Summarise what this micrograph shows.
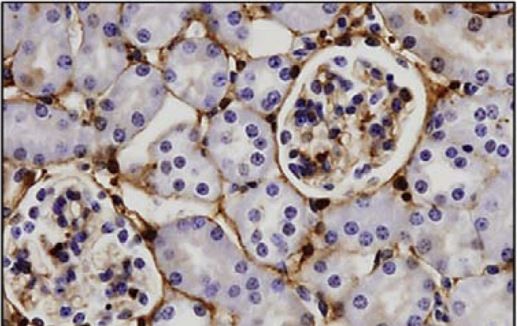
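Kidney cortex with two glomeruli surrounded by cross-cut tubules, where brown stain gathers inside the glomeruli and in the narrow spaces between tubules. Many small cells in these places have dark brown nuclei, whereas the tubular epithelium with its round blue nuclei and pale cytoplasm remains largely unstained.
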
